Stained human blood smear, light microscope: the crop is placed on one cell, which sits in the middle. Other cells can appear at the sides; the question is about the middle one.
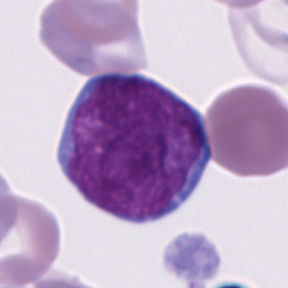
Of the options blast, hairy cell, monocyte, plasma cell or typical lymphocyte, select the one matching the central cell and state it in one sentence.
In this crop, the cell at the very middle is a blast.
